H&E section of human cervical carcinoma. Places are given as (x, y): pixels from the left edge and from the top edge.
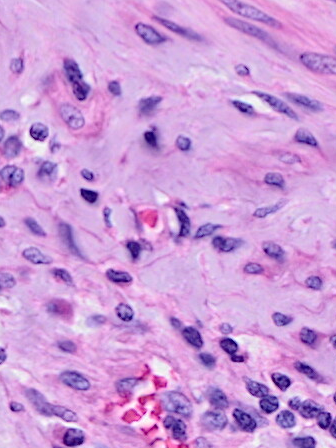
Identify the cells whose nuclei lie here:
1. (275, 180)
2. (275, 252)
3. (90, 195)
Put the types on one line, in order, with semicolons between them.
smooth muscle cell; smooth muscle cell; lymphocyte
